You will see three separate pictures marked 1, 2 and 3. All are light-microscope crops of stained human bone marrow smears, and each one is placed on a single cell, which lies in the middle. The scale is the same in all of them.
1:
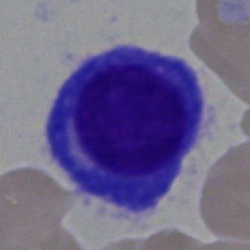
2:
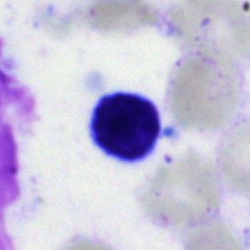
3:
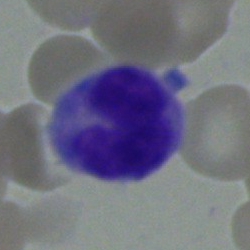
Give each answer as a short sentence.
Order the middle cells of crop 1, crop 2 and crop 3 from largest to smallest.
Largest first: 1, 3, 2.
